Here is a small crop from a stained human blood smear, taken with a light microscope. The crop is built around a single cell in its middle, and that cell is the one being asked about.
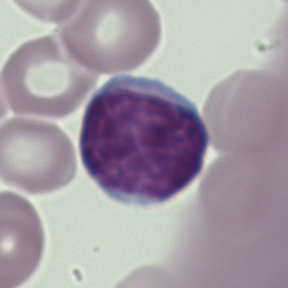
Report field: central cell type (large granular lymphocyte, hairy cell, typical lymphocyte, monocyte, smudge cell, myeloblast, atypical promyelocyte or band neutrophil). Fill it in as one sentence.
In the middle of this smear crop, the cell is a myeloblast.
